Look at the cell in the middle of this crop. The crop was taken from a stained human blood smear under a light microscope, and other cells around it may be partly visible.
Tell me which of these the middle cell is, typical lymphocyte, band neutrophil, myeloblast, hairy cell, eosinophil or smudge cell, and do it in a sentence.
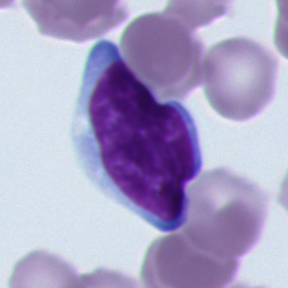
The centrally located cell in the crop is a typical lymphocyte.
